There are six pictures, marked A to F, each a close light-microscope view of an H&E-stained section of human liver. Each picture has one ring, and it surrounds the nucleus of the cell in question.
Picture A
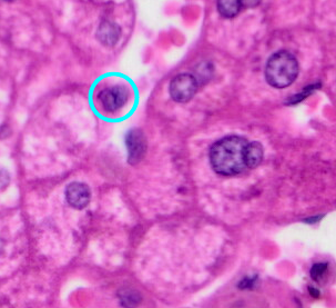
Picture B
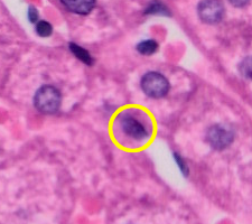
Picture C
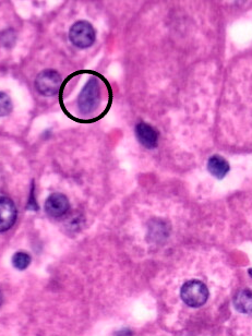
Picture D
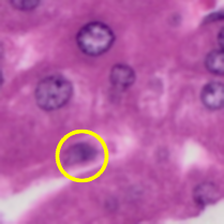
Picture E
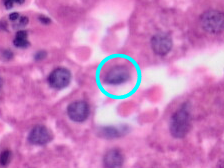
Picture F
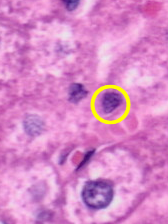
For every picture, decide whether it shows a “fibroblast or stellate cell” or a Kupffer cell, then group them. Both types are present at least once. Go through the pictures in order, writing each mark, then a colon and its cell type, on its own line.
A: Kupffer cell
B: fibroblast or stellate cell
C: Kupffer cell
D: Kupffer cell
E: Kupffer cell
F: fibroblast or stellate cell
